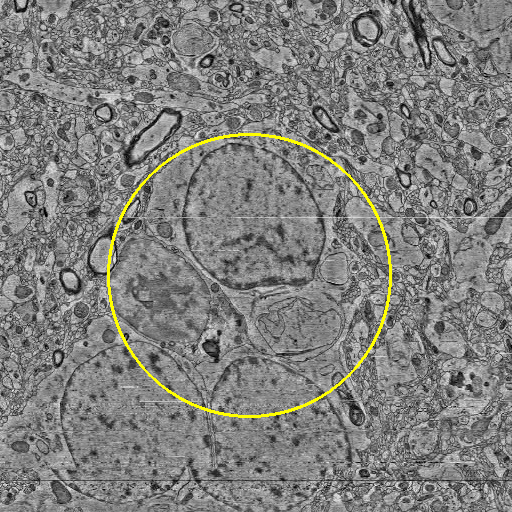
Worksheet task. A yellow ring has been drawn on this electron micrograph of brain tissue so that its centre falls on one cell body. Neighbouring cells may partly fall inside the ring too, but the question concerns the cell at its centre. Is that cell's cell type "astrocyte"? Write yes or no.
yes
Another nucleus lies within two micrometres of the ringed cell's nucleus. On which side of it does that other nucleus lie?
The second nucleus sits to the lower left of it.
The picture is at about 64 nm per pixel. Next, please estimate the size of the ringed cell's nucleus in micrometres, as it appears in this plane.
Approximately 10 by 9 micrometers in this plane.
